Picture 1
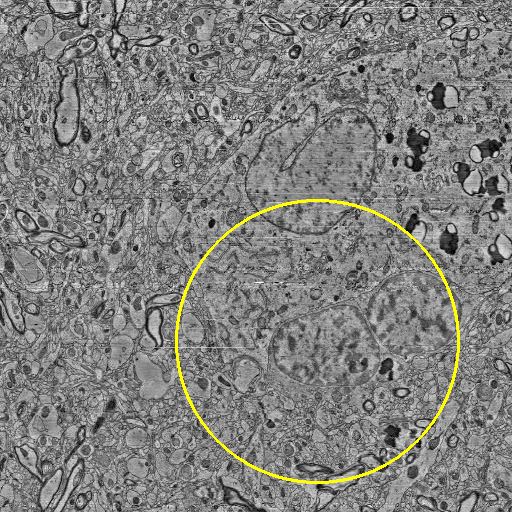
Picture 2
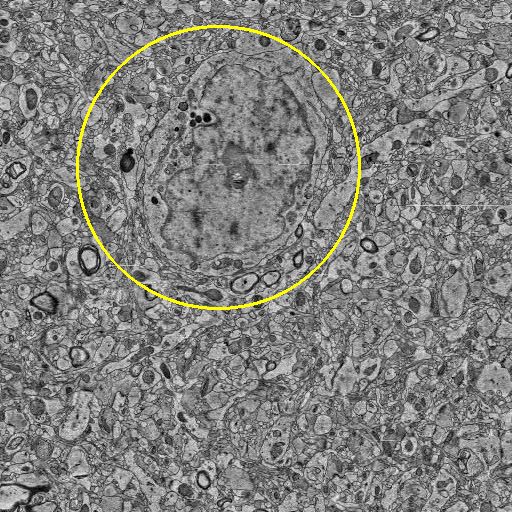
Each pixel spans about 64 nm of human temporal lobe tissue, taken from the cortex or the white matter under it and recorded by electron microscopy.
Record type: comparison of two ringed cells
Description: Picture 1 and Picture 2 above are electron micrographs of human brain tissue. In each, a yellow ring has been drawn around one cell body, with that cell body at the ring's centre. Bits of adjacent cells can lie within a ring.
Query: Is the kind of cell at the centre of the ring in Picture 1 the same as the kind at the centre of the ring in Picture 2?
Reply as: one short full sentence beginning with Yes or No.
No, the two ringed cells are of two separate kinds.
